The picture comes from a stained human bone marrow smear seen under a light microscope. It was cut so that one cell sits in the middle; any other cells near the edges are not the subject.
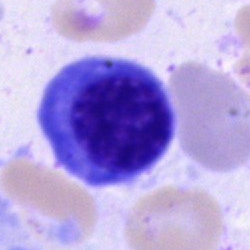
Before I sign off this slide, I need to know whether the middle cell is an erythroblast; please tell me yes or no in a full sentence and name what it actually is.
Yes, in the centre of this field sits an erythroblast.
